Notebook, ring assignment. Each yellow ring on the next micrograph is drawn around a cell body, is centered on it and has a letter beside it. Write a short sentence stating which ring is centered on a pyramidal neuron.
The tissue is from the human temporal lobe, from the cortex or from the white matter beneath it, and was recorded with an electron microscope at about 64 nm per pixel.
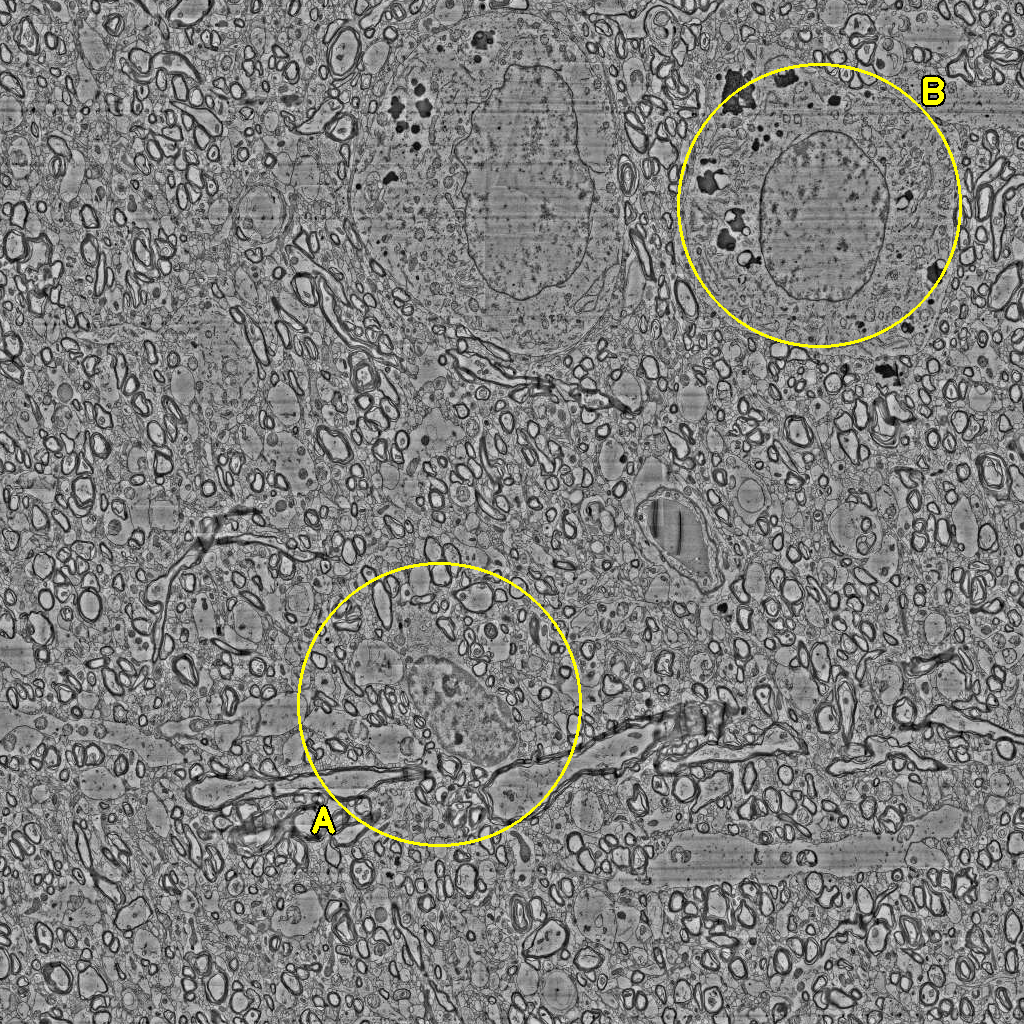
Ring B is centered on it.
